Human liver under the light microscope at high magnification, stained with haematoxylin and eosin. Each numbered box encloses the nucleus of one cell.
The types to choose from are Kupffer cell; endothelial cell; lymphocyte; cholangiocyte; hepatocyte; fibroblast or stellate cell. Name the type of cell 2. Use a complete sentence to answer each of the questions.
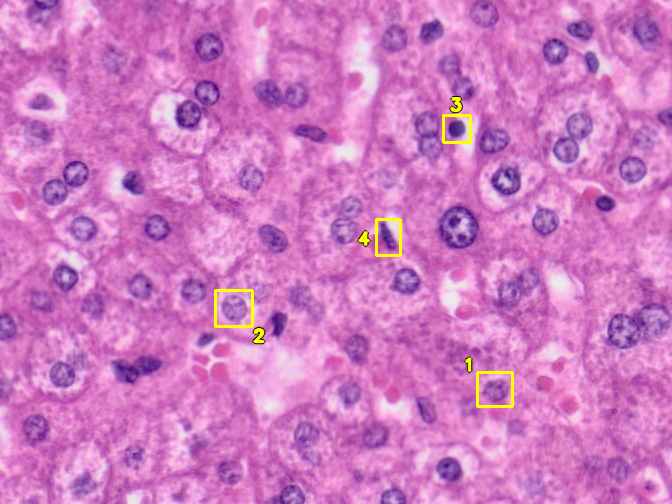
Of the numbered cells, the one labelled 2 is a hepatocyte.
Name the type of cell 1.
The nucleus labelled 1 belongs to a hepatocyte.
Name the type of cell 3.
Cell 3 in the field of view is a lymphocyte.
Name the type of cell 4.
The numbered cell 4 is identified here as an endothelial cell.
